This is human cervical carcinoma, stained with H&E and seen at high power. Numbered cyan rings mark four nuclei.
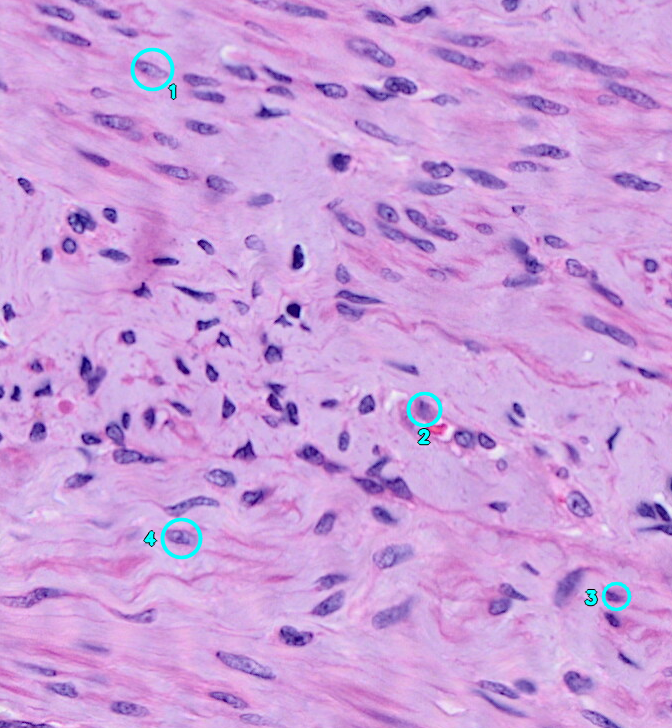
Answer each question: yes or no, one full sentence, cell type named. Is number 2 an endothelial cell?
Yes, the cell numbered 2 in this tissue is an endothelial cell.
